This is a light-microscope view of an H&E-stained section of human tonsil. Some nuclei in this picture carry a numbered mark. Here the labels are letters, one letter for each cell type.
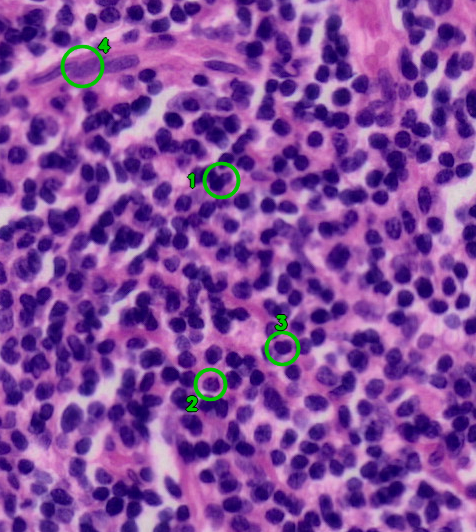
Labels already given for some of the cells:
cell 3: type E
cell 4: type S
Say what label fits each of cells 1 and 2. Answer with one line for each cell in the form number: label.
1: type E
2: type E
